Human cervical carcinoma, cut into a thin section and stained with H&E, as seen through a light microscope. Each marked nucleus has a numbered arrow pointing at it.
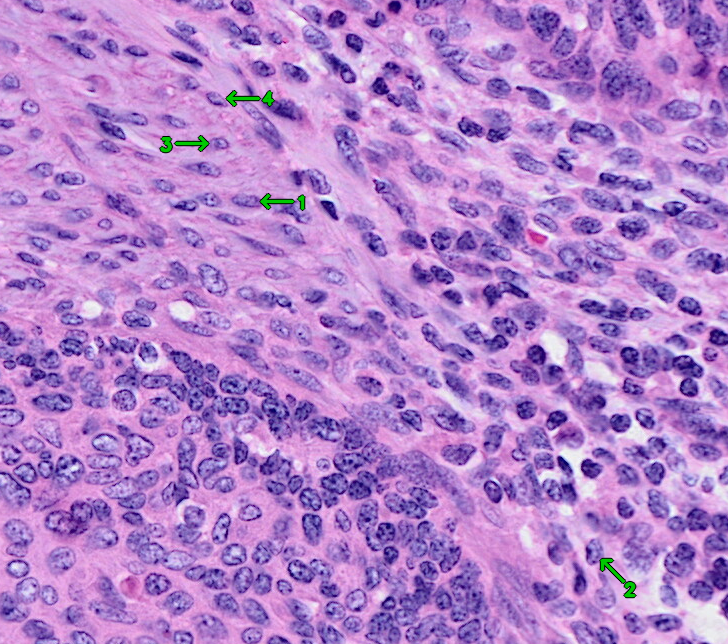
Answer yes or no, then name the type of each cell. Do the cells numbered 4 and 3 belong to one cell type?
Yes, cells 4 and 3 both count as smooth muscle cells.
